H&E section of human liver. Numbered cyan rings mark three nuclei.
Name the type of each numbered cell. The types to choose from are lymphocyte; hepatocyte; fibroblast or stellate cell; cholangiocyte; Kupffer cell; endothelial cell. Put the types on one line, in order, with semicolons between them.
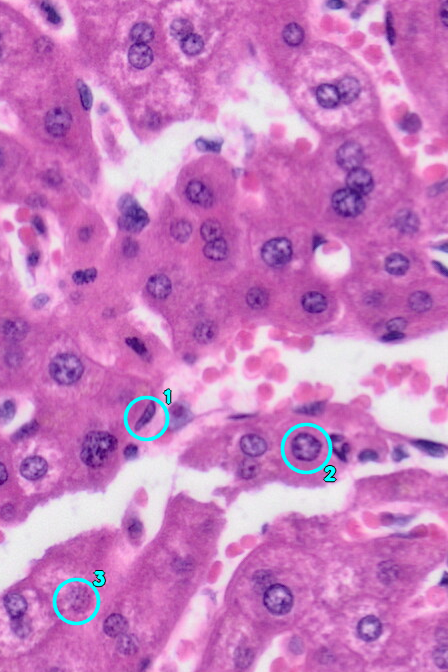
fibroblast or stellate cell; hepatocyte; hepatocyte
